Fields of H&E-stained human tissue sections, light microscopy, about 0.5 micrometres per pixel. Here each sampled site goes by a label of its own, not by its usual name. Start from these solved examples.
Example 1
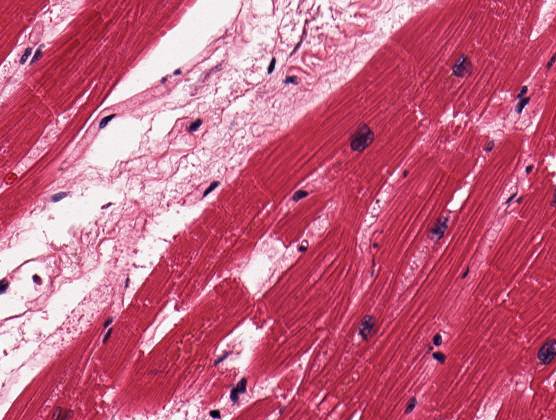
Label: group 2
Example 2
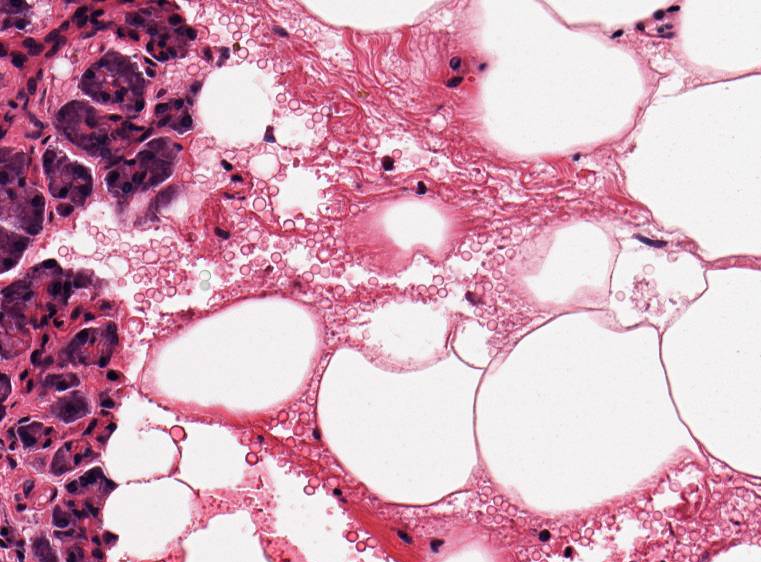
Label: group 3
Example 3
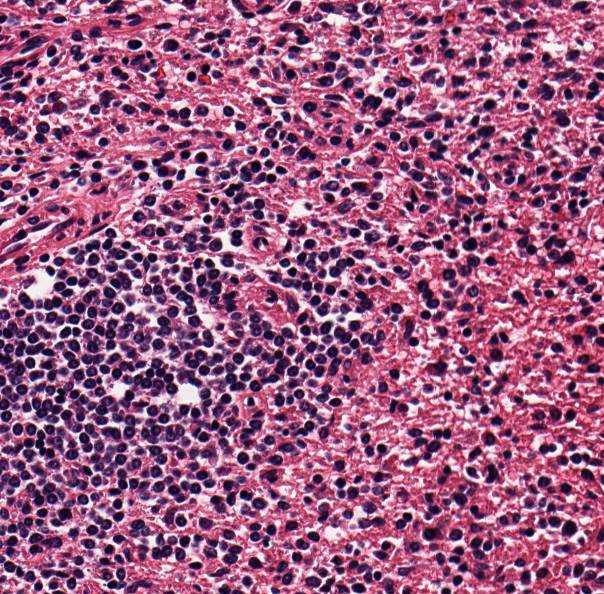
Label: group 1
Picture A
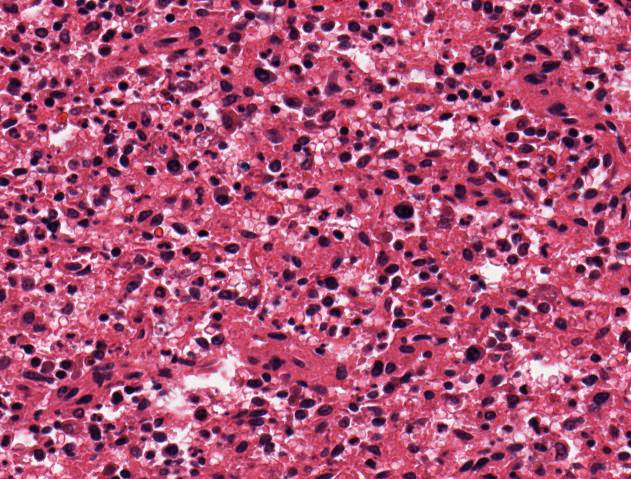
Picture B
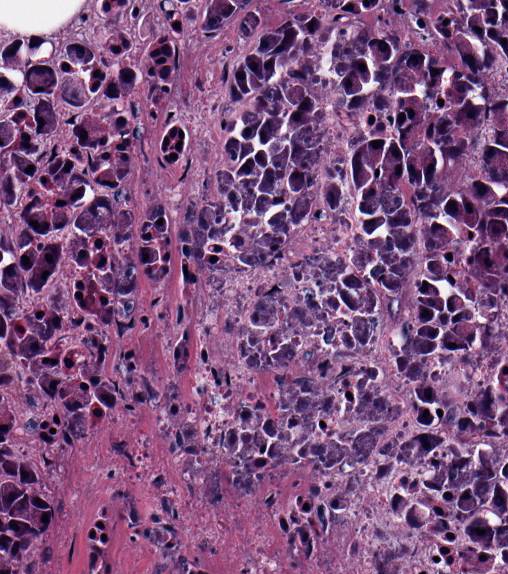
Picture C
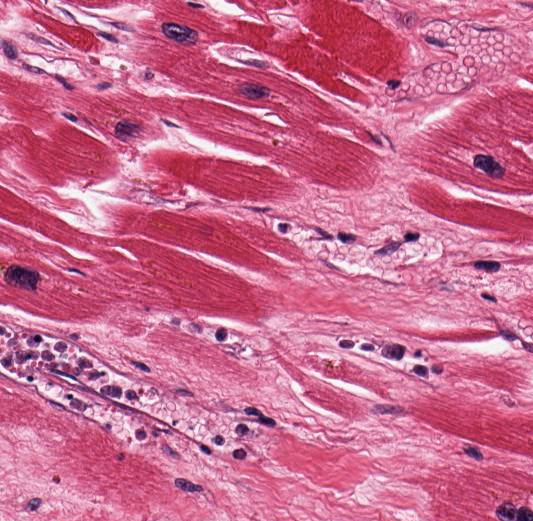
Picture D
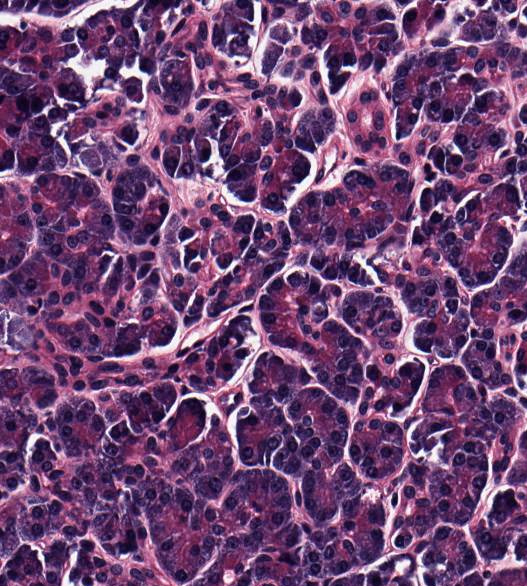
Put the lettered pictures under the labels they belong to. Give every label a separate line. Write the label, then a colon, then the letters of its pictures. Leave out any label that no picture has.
group 2: C
group 3: B, D
group 1: A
